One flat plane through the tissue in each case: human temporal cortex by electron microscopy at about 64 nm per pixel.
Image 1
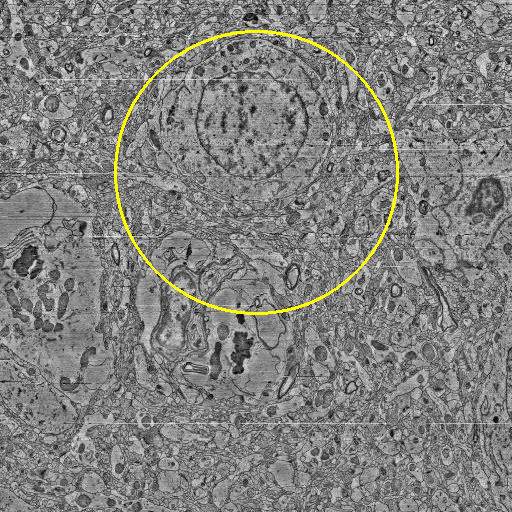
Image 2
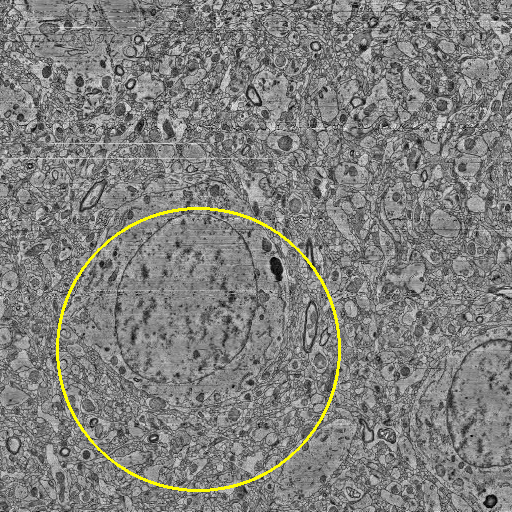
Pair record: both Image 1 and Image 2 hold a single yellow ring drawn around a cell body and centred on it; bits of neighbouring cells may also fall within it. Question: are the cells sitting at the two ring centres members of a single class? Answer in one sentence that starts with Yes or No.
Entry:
Yes, both ring-centre cells in Image 1 and Image 2 are members of one class.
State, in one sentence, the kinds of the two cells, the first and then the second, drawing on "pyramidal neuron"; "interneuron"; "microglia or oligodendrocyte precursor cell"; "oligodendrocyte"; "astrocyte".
In each of the two pictures, the ringed cell is a pyramidal neuron.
